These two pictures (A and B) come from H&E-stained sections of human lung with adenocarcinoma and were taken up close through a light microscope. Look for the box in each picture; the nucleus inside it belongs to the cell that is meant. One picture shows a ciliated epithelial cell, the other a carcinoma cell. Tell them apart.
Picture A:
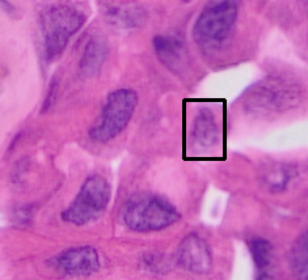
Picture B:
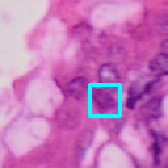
A: carcinoma cell
B: ciliated epithelial cell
